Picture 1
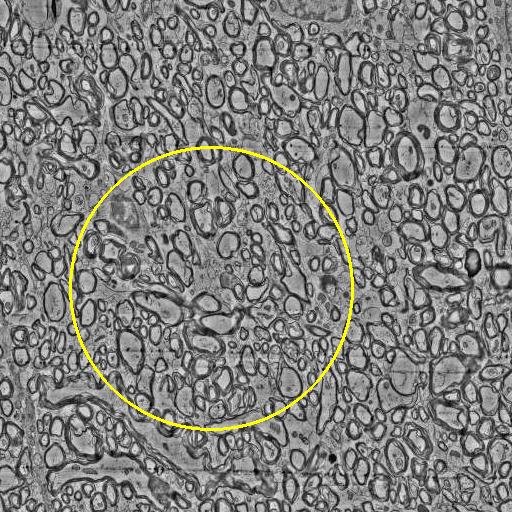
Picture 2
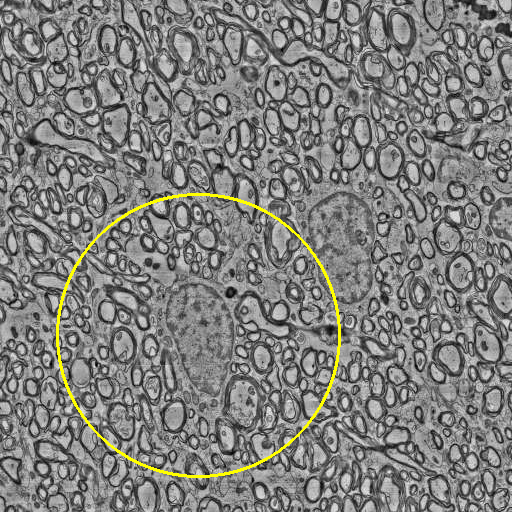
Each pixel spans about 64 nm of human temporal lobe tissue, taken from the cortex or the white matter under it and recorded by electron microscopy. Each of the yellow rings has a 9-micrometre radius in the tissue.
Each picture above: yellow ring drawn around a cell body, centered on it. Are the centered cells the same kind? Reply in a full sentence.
No, the two cells are two kinds of cell.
